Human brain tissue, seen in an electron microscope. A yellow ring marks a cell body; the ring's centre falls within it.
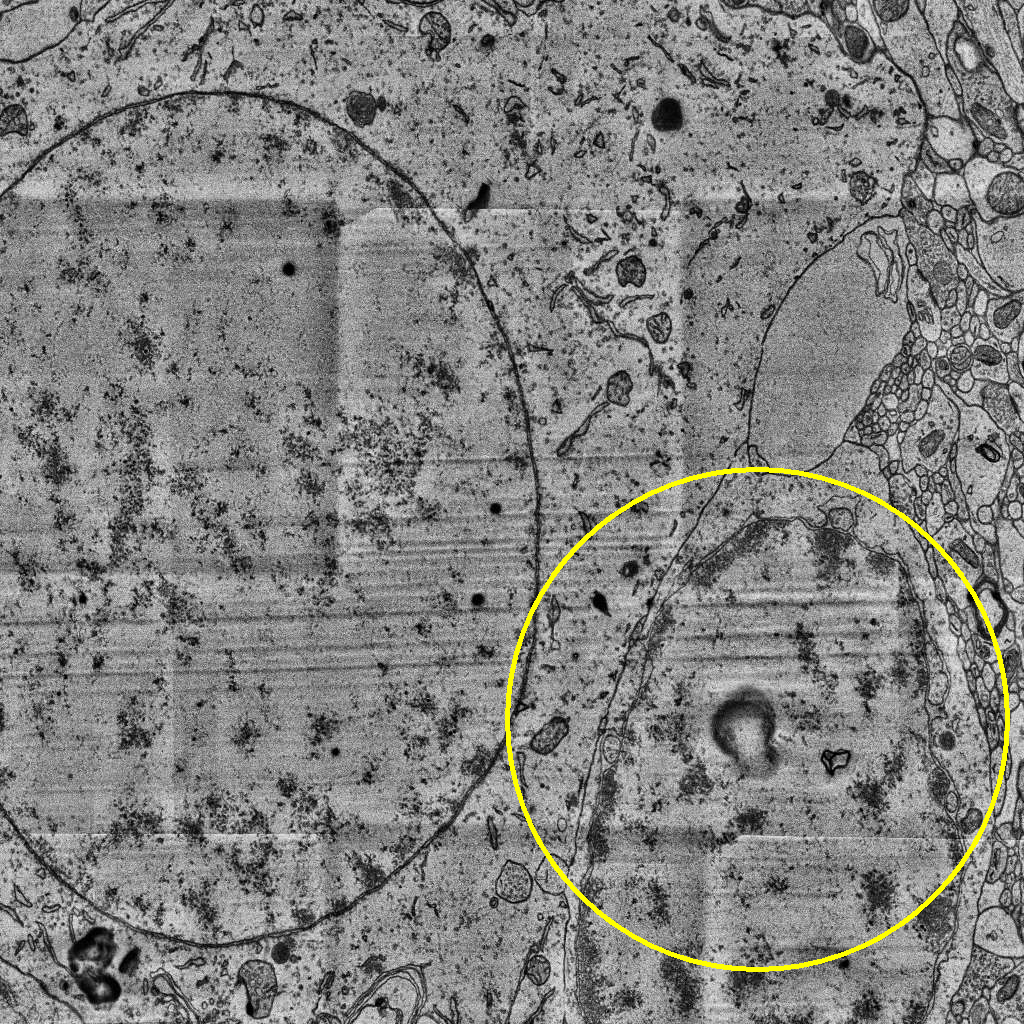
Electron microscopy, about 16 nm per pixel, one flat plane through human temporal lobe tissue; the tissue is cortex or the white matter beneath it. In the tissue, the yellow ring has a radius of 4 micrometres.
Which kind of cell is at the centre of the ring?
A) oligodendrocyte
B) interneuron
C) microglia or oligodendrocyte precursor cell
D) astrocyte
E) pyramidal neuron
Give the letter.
B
